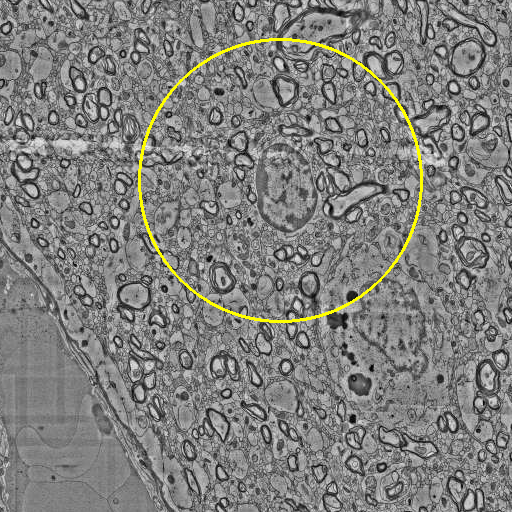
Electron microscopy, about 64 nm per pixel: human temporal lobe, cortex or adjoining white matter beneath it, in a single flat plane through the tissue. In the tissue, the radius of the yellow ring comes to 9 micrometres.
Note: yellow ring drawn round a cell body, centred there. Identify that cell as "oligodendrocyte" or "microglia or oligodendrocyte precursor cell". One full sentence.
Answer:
The cell in the middle of the ring is a microglial cell or oligodendrocyte precursor cell.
